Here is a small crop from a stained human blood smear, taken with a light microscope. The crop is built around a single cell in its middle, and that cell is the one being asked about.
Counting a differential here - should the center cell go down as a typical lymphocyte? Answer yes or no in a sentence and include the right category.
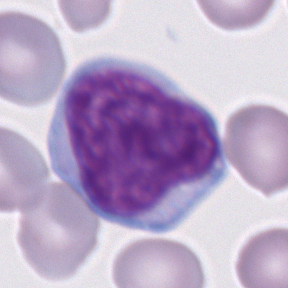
No, a myeloblast, not a typical lymphocyte, is what sits in the centre of the crop.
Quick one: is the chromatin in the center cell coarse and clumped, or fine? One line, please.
Take a look at the chromatin, which is coarsely clumped.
